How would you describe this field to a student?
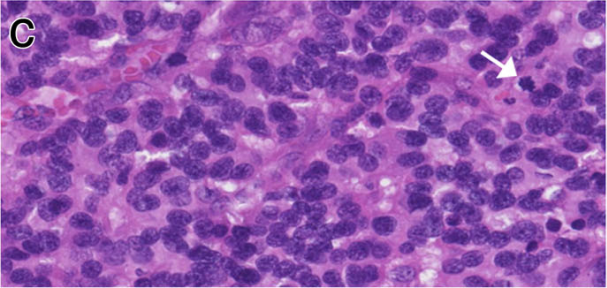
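High-power view of tumor cells packed closely in a sheet. The cells have round to oval nuclei of fairly even size with dense, granular, dark purple chromatin and small nucleoli in some. Small clear spaces and a thin capillary with red blood cells run between the cells at the left. Near the upper right, a cell in division shows a compact, dark, clumped mass of chromatin without a nuclear membrane, a mitotic figure.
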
